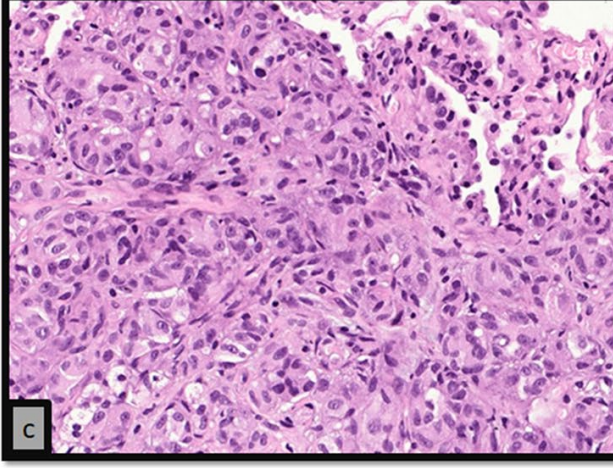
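Lung tissue is infiltrated by a tumor whose cells are gathered into solid nests separated by thin pink fibrous strands. The tumor cells are polygonal with pink cytoplasm and enlarged oval nuclei, while thin-walled air spaces of the lung remain along the upper edge.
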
